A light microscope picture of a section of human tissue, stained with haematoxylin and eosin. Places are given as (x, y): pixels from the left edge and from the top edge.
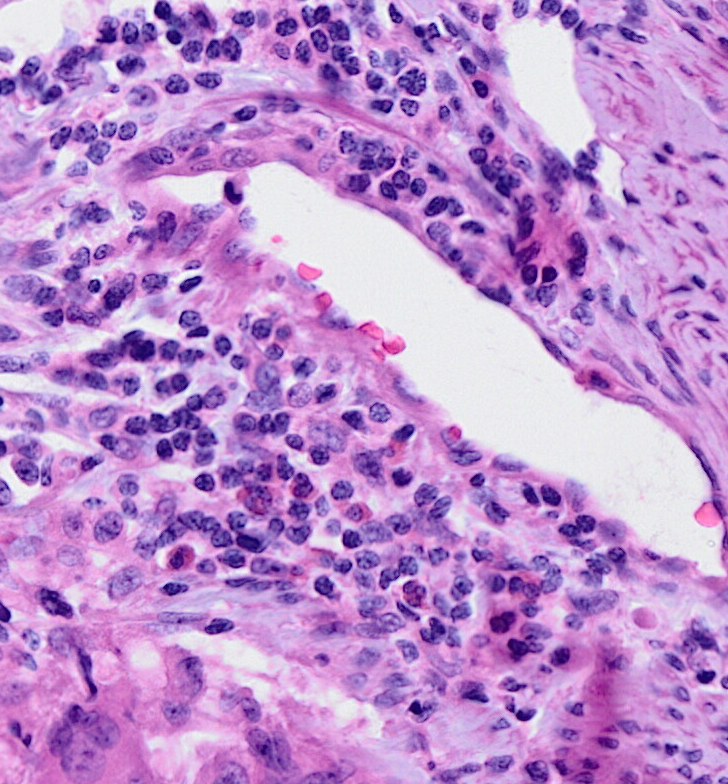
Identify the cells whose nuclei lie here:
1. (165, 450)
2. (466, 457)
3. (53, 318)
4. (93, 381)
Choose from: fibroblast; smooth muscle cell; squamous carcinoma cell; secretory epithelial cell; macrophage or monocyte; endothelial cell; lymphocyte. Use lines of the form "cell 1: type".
cell 1: lymphocyte
cell 2: endothelial cell
cell 3: lymphocyte
cell 4: lymphocyte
